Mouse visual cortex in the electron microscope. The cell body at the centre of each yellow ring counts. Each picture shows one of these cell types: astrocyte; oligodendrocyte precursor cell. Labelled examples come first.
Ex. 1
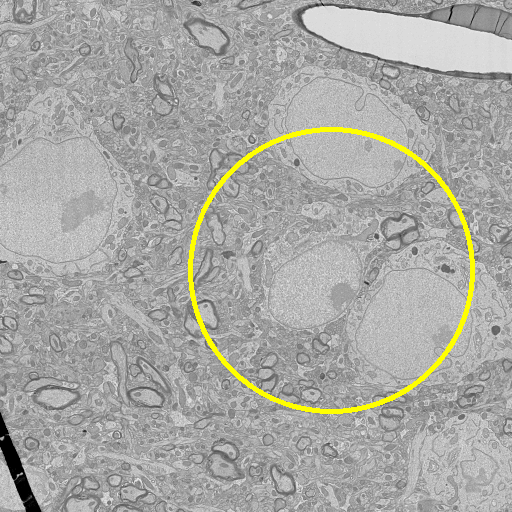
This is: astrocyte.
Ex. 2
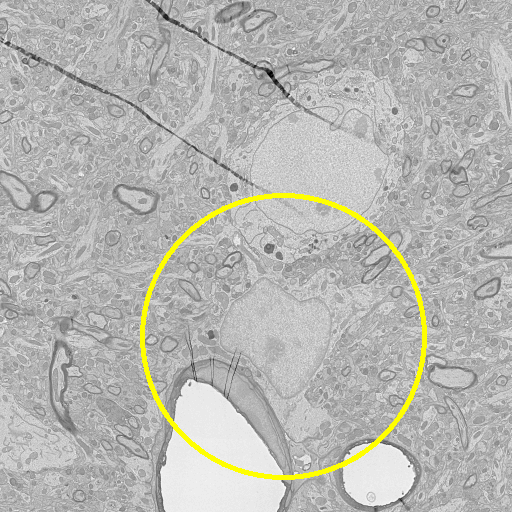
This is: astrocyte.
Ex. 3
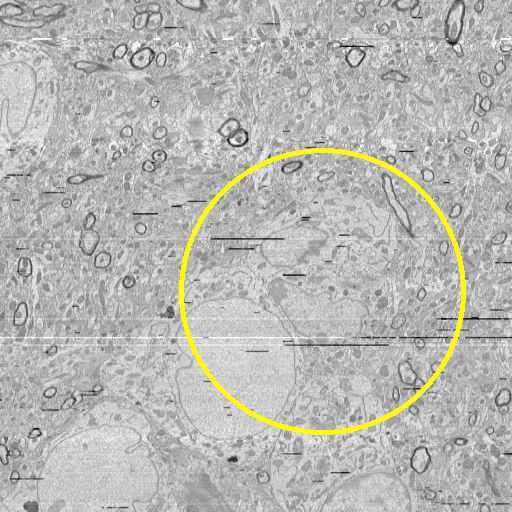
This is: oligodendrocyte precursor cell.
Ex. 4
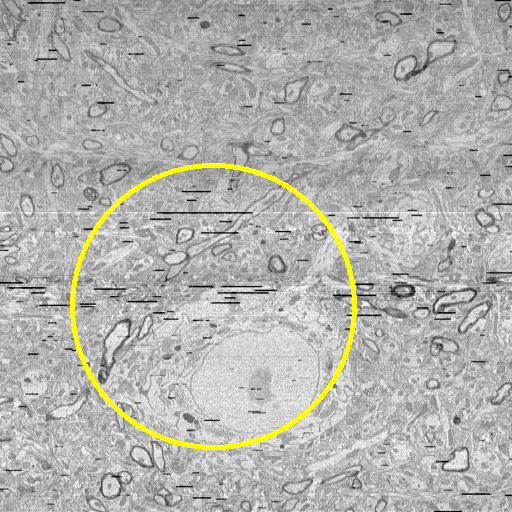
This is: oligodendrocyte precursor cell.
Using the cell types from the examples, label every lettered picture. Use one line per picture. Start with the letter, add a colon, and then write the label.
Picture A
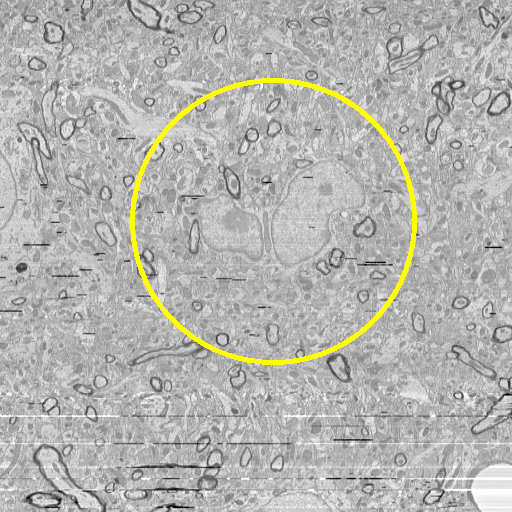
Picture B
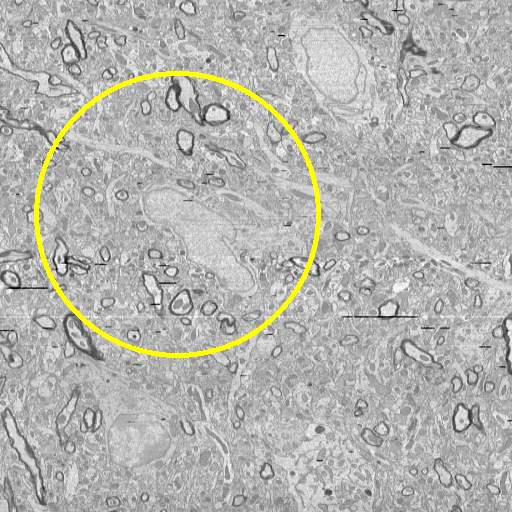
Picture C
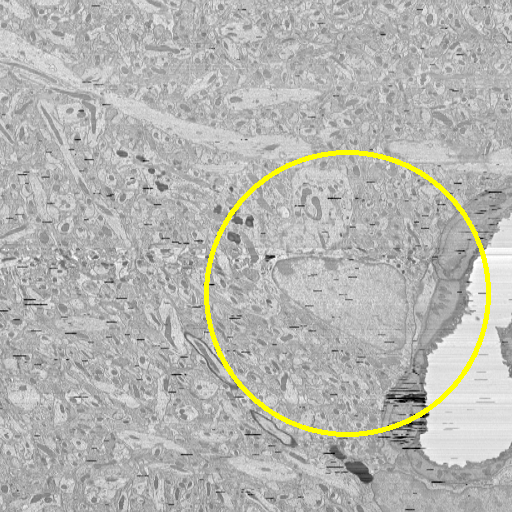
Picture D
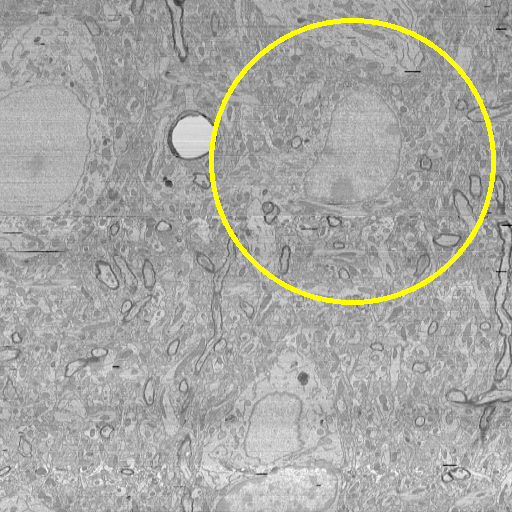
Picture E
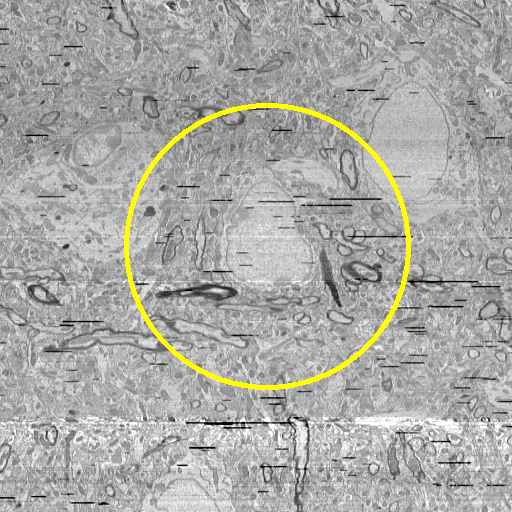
A: oligodendrocyte precursor cell.
B: oligodendrocyte precursor cell.
C: astrocyte.
D: astrocyte.
E: astrocyte.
